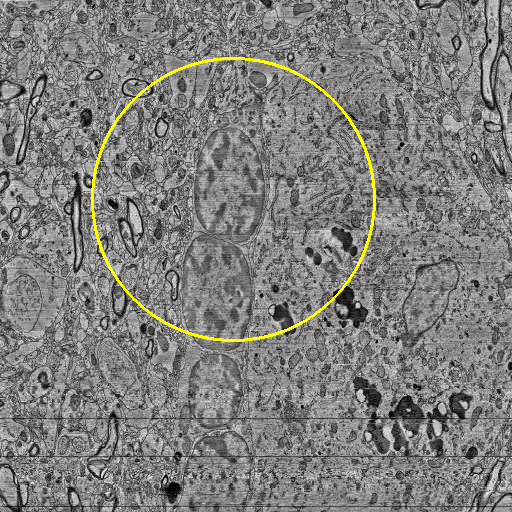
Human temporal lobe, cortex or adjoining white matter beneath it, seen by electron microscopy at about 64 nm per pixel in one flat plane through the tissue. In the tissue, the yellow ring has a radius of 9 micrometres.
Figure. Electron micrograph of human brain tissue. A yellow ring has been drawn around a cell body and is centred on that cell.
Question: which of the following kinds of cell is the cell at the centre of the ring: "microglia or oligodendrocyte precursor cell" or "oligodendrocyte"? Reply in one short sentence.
The cell at the centre of the ring is an oligodendrocyte.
